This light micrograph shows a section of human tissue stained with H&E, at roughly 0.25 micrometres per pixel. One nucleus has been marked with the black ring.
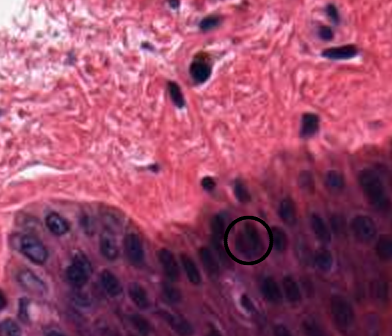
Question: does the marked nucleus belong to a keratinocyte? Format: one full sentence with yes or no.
Yes, the marked nucleus is one belonging to a keratinocyte.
